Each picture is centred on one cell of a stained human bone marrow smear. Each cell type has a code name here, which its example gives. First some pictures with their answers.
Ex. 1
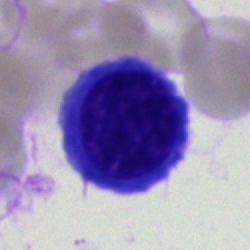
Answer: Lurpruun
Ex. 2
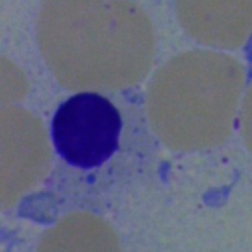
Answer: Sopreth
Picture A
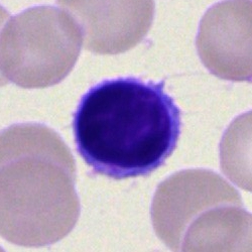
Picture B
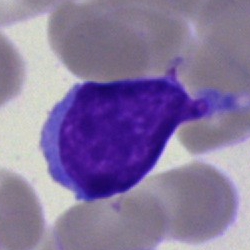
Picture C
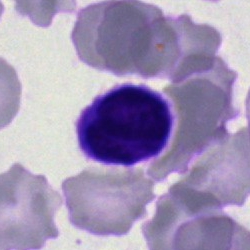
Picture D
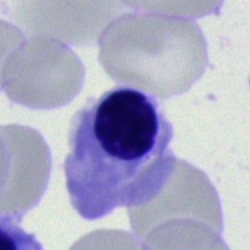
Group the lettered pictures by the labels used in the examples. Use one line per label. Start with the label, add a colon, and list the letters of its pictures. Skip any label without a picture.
Lurpruun: D
Sopreth: A, B, C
